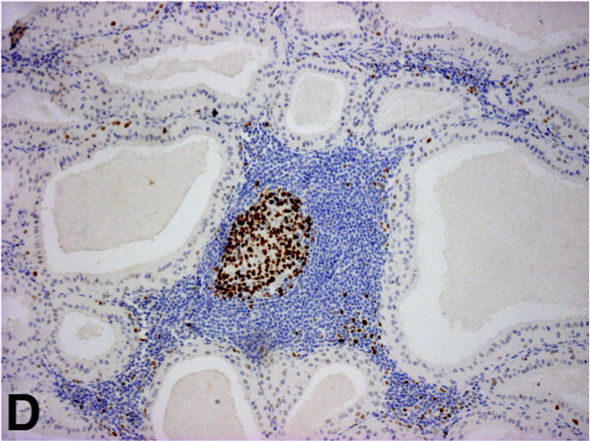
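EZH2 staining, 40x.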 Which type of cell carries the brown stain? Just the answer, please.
Lymphocytes.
